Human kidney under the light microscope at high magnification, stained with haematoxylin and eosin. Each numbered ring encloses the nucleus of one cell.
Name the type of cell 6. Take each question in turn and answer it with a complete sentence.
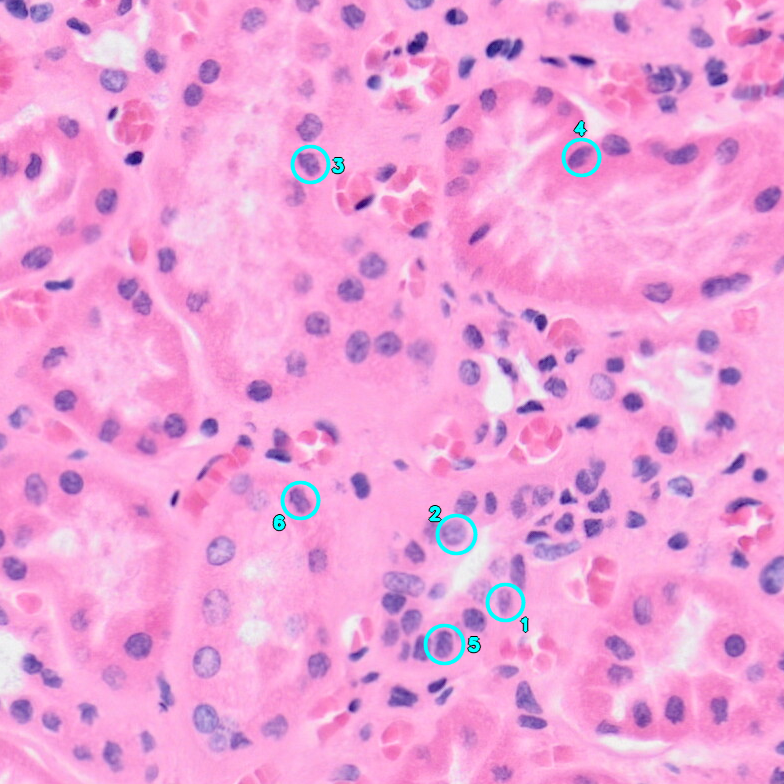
The one numbered 6 among the marked cells is a proximal tubule cell.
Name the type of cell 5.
Of the numbered cells, the one labelled 5 is a collecting duct cell.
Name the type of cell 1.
Number 1 is placed on a collecting duct cell here.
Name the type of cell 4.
It is as a proximal tubule cell that the cell numbered 4 is identified.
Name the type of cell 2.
Cell 2 of the marked set is a collecting duct cell.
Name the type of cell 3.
The numeral 3 marks a proximal tubule cell in this section.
